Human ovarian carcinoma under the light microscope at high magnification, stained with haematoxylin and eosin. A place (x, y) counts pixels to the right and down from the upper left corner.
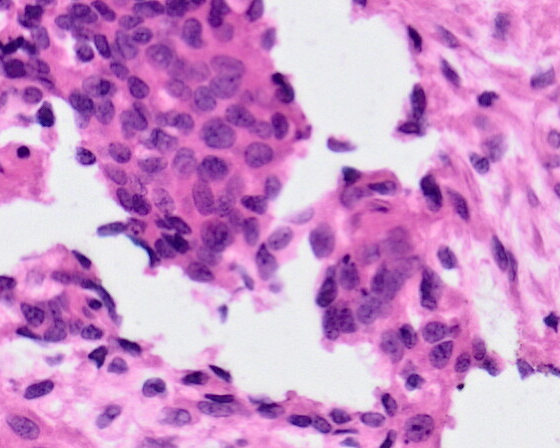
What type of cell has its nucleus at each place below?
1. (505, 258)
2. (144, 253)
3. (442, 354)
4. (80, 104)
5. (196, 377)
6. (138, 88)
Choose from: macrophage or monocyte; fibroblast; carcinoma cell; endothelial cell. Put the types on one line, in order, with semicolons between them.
fibroblast; carcinoma cell; macrophage or monocyte; carcinoma cell; macrophage or monocyte; carcinoma cell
